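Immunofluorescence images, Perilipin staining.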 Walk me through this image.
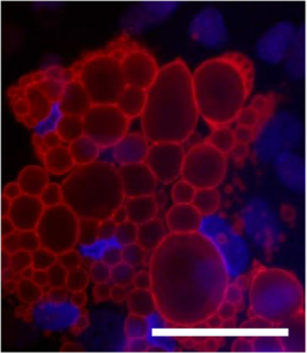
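Cultured cells packed with numerous round vacuole-like droplets, each outlined by a thin red ring of fluorescence. The droplets vary widely in size, from small to very large, and crowd against one another. Blue nuclei lie at the margins between the droplet clusters.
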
